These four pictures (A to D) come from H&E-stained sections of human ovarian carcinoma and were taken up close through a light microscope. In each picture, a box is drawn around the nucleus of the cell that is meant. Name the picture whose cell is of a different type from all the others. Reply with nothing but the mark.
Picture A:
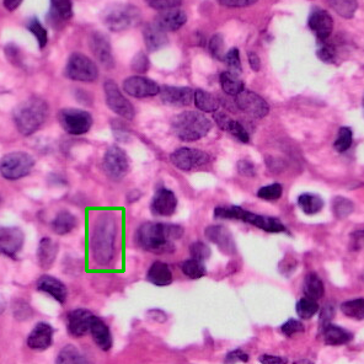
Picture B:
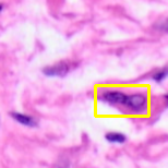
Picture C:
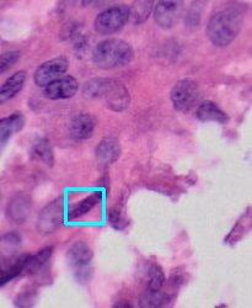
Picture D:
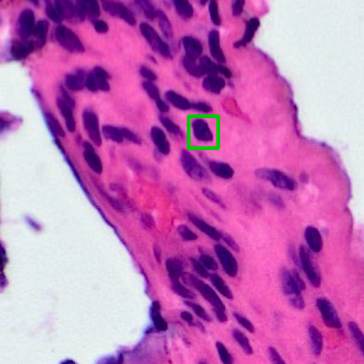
D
